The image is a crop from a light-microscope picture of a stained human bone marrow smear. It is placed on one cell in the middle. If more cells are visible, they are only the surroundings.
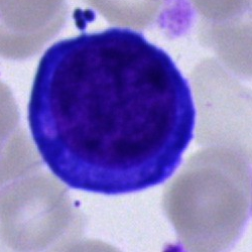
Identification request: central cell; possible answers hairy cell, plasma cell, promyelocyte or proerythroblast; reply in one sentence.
Answering briefly, the cell in the middle is a proerythroblast.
